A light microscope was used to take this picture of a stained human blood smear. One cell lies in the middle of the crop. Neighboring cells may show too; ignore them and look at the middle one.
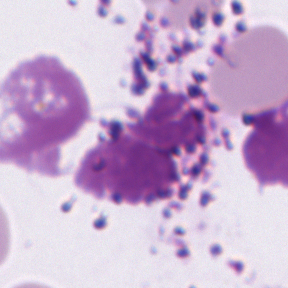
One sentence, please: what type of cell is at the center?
The single cell at the center of the crop is a basophil.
